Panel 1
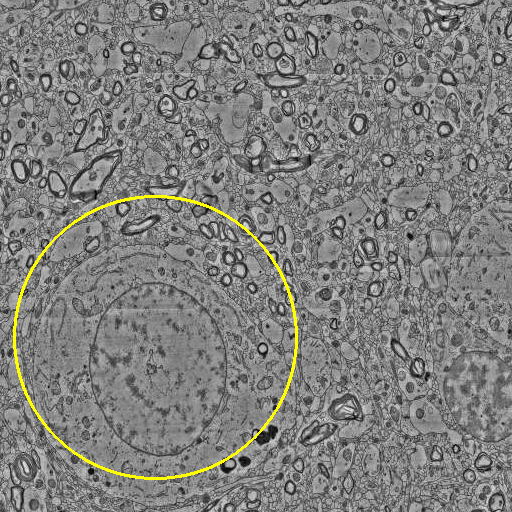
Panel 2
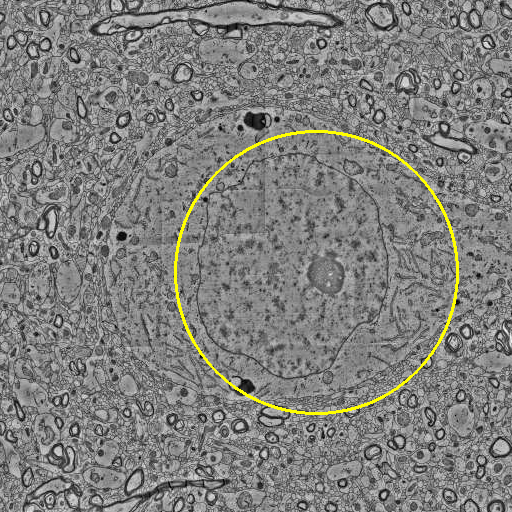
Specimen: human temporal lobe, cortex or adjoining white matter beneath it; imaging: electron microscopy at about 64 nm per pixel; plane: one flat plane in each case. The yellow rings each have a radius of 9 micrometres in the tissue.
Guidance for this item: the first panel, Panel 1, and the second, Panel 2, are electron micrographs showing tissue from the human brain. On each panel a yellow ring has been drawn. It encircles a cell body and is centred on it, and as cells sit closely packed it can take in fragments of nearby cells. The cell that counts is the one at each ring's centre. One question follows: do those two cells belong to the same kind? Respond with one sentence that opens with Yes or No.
Yes, the cells at the ring centres in Panel 1 and Panel 2 are of one kind.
